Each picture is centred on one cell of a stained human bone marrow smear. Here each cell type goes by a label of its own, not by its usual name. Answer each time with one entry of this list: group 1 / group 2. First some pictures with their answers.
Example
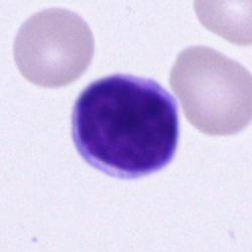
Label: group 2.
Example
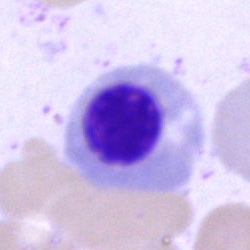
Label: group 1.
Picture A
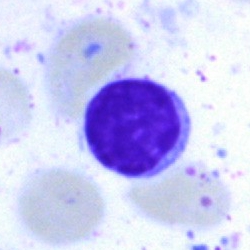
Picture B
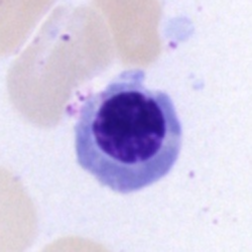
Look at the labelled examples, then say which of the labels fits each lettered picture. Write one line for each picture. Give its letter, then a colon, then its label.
A: group 2.
B: group 1.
